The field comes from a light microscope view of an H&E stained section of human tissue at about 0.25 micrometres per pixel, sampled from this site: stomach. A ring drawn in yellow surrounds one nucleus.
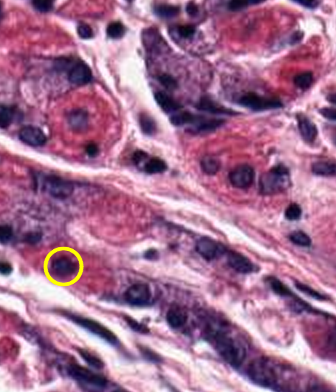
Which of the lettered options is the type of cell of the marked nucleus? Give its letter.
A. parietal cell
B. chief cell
A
